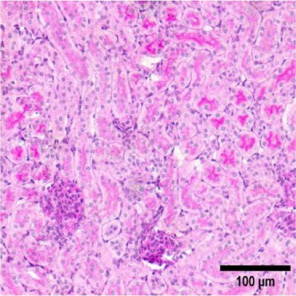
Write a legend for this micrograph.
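This is kidney tissue stained with periodic acid–Schiff, showing glomeruli among many cross-sectioned tubules. The glomeruli are compact round tufts of closely packed, dark purple nuclei. The tubules around them are lined by epithelial cells with pale pink cytoplasm and round nuclei, and many tubules hold bright magenta material along their inner borders and in their lumens.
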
